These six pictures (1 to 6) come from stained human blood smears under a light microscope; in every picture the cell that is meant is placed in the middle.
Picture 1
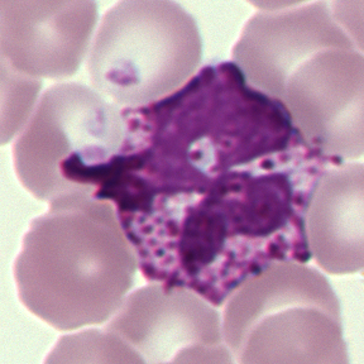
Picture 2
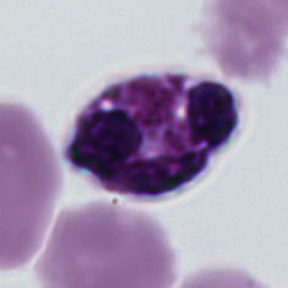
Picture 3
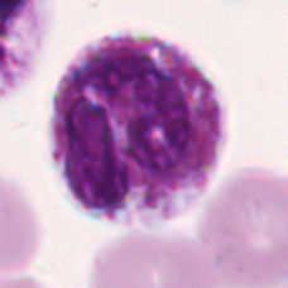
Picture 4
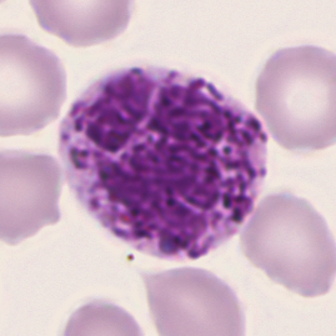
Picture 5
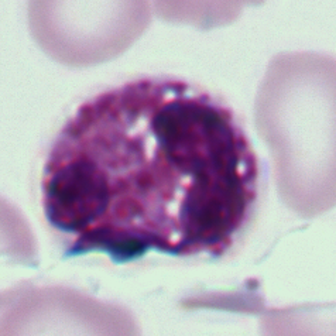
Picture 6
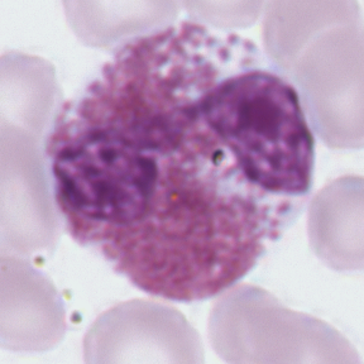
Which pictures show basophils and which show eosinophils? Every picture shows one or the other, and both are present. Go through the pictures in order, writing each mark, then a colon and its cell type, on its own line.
1: basophil
2: eosinophil
3: eosinophil
4: basophil
5: eosinophil
6: eosinophil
